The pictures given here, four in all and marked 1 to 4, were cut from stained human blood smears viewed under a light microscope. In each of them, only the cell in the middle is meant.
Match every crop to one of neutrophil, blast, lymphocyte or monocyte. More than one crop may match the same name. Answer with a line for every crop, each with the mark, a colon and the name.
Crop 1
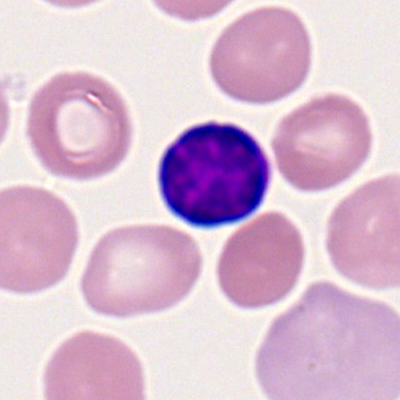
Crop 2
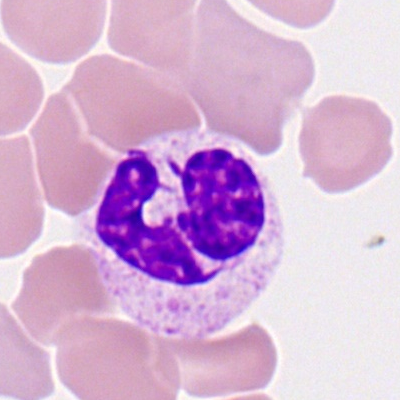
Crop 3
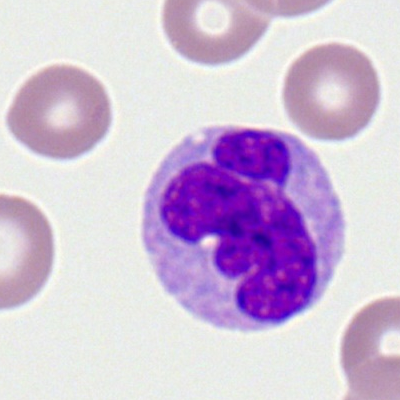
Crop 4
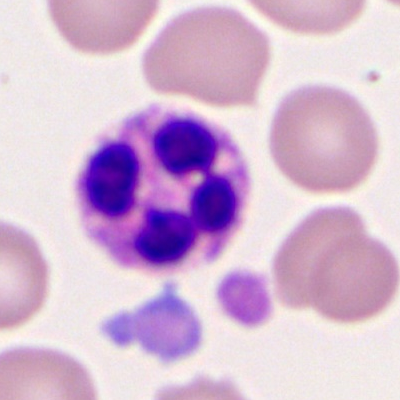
1: lymphocyte
2: neutrophil
3: monocyte
4: neutrophil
